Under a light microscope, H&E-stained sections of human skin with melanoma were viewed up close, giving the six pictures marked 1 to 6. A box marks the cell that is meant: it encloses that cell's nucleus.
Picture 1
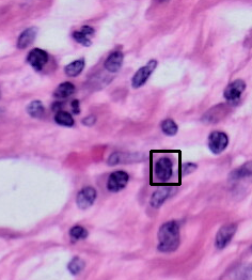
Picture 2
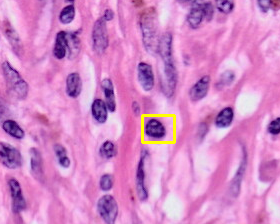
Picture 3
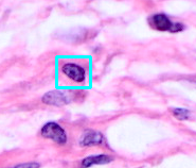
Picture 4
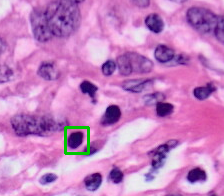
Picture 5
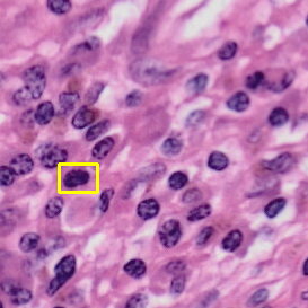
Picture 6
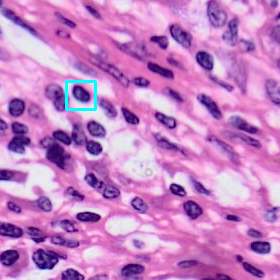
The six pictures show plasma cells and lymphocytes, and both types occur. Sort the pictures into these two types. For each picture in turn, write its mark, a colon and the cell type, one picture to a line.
1: plasma cell
2: plasma cell
3: plasma cell
4: lymphocyte
5: plasma cell
6: lymphocyte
